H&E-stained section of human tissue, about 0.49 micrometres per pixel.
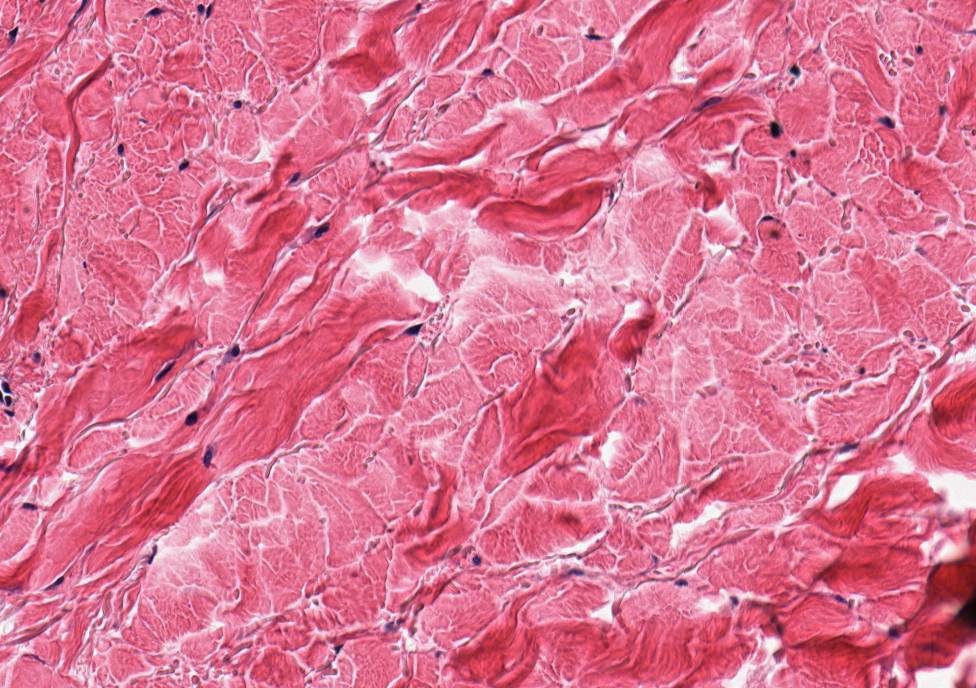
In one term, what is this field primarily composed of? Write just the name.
dermis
